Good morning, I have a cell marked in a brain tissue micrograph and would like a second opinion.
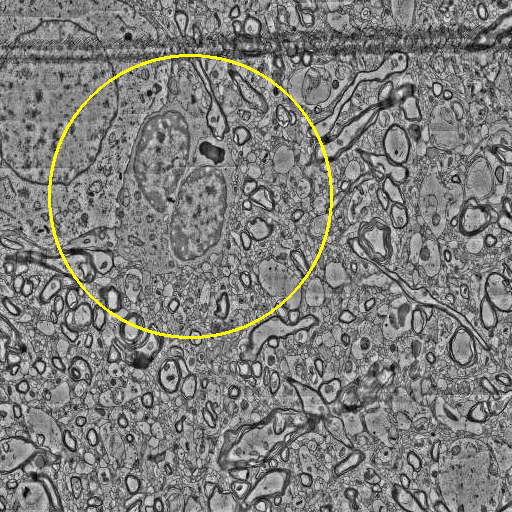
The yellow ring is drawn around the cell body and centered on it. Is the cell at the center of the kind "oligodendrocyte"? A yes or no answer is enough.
yes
